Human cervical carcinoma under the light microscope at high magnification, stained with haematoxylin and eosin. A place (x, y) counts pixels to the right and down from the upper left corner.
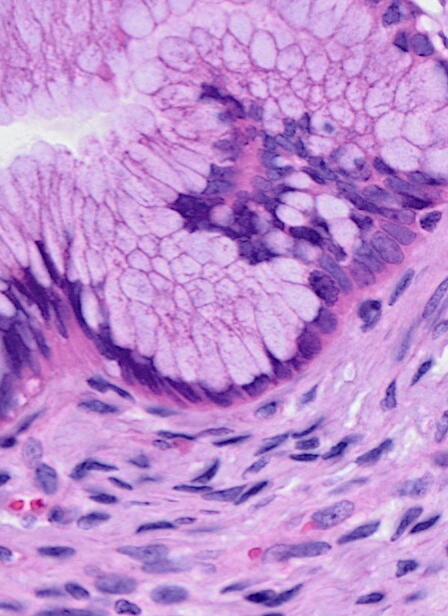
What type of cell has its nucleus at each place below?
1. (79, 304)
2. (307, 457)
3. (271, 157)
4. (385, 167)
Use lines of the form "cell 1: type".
cell 1: secretory epithelial cell
cell 2: fibroblast
cell 3: secretory epithelial cell
cell 4: secretory epithelial cell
